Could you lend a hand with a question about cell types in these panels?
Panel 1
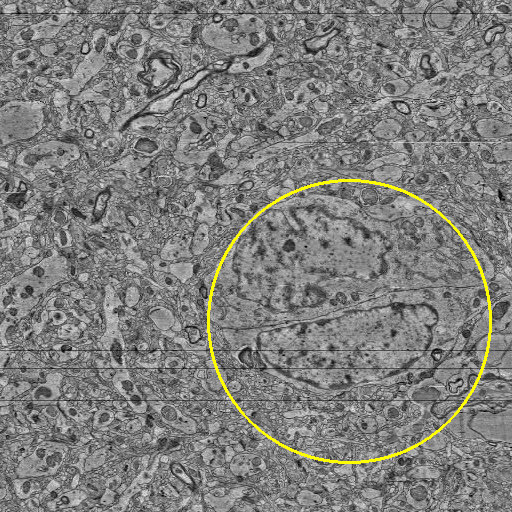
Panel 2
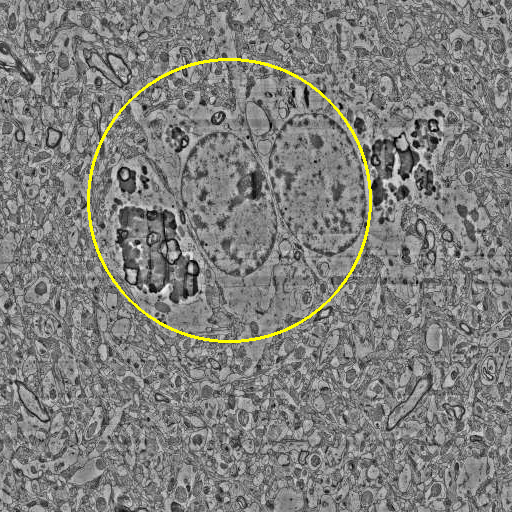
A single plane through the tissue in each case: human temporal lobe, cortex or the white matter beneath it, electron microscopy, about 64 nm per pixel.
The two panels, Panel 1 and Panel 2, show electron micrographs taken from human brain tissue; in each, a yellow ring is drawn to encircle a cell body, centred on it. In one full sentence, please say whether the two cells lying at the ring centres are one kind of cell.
No, the cells at the ring centres in the two panels are two kinds of cell.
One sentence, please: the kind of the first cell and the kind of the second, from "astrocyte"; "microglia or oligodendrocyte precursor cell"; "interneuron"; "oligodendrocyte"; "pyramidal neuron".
The ring in the first picture surrounds a microglial cell or oligodendrocyte precursor cell, and the ring in the second surrounds an astrocyte.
